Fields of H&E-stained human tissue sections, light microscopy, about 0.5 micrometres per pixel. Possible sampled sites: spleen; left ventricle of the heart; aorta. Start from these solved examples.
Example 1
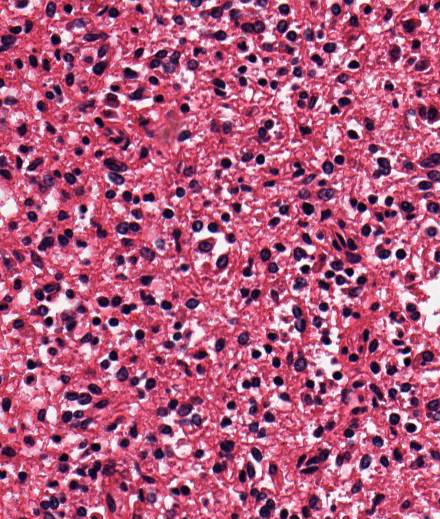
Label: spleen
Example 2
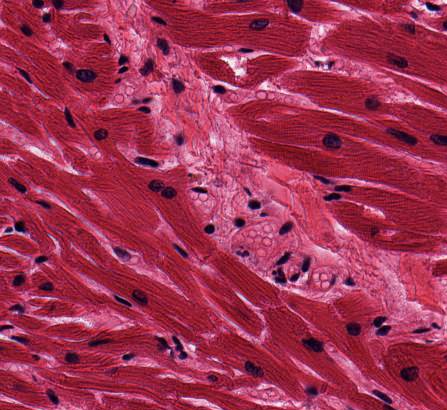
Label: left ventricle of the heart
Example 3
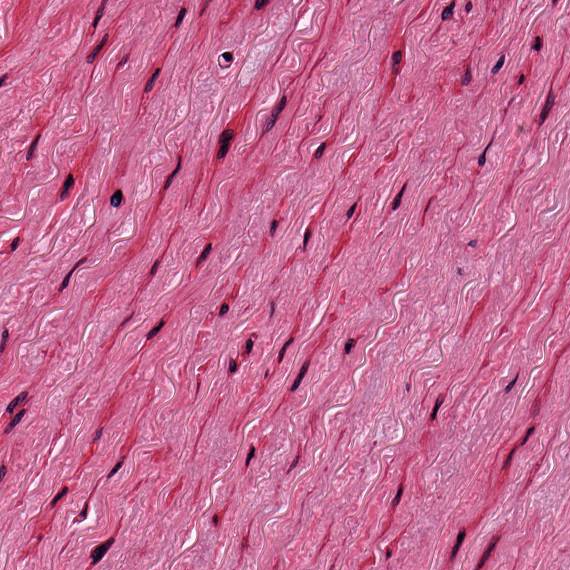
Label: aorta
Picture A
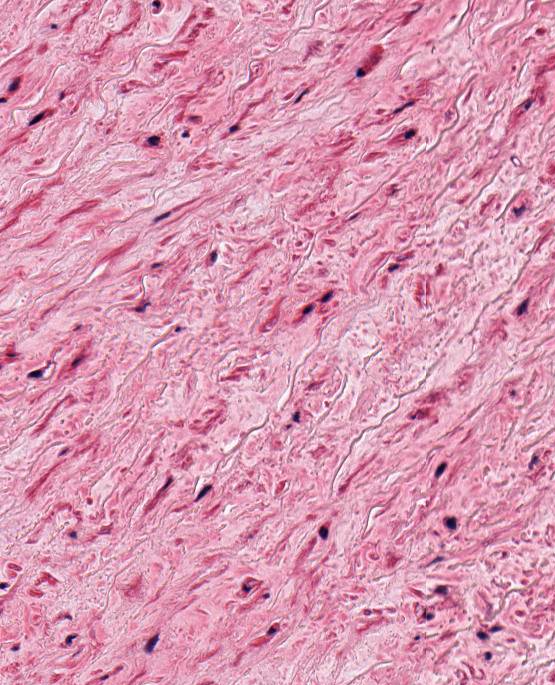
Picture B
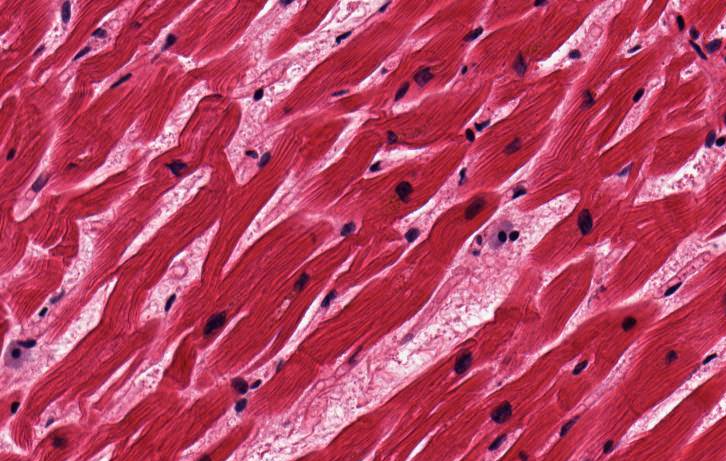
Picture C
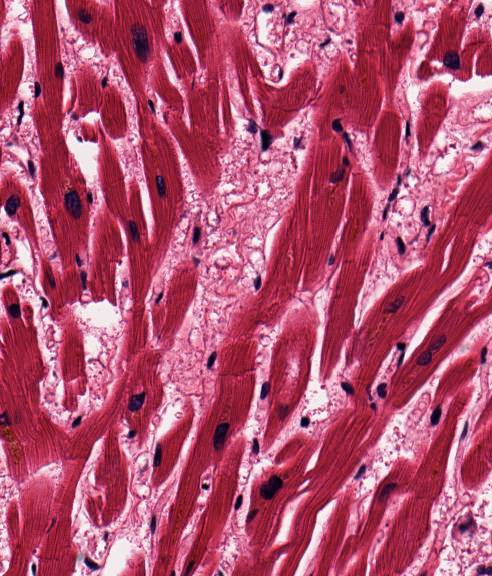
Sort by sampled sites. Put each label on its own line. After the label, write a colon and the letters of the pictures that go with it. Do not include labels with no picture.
left ventricle of the heart: B, C
aorta: A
